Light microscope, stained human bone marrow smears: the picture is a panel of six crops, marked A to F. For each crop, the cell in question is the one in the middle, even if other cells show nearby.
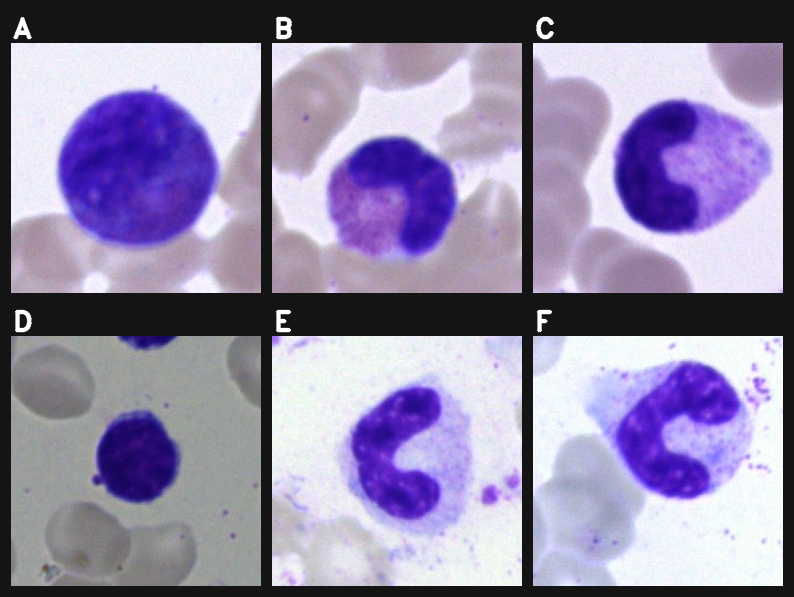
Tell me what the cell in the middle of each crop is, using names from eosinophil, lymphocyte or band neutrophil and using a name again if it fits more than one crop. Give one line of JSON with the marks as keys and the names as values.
{"A": "eosinophil", "B": "eosinophil", "C": "band neutrophil", "D": "lymphocyte", "E": "band neutrophil", "F": "band neutrophil"}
